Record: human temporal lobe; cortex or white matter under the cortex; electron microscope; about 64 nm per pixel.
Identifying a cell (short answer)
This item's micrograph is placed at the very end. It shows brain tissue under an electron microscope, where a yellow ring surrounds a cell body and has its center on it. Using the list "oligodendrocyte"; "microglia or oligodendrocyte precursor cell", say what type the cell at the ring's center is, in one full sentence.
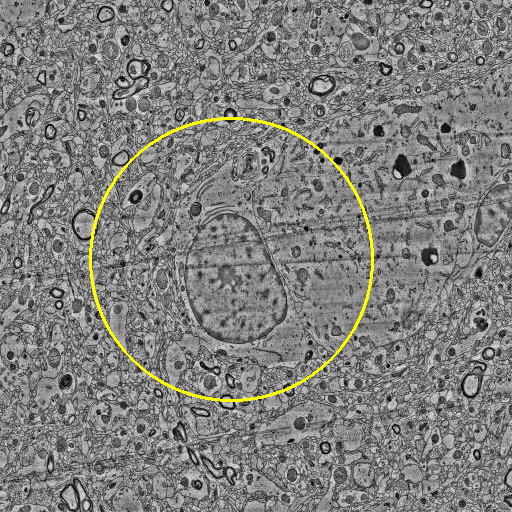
This picture shows a microglial cell or oligodendrocyte precursor cell at the center of the yellow ring drawn on it.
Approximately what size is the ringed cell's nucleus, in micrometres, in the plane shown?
Approximately 8 micrometres long and 6 micrometres wide, in this plane.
